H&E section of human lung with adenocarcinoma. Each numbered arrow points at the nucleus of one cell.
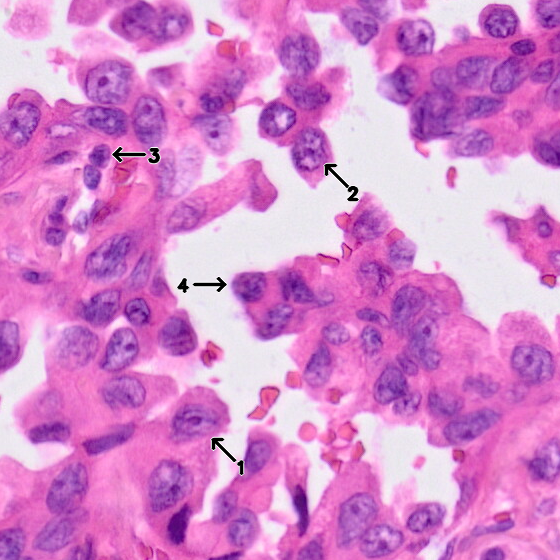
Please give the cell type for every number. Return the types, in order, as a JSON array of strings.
["carcinoma cell", "carcinoma cell", "lymphocyte", "carcinoma cell"]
